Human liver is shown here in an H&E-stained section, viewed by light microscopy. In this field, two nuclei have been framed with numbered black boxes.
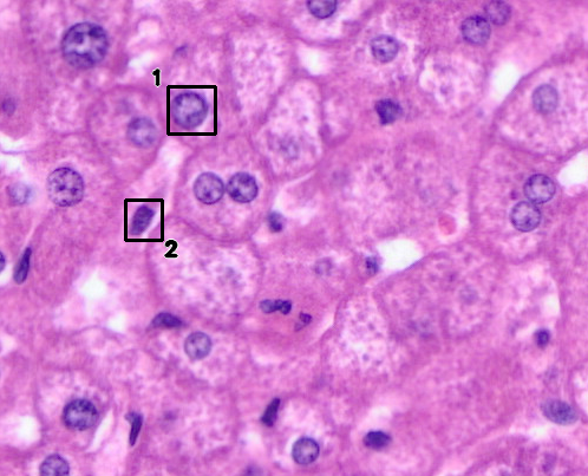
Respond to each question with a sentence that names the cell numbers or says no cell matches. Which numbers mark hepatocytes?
Within the set of numbered cells, only number 1 is a hepatocyte.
